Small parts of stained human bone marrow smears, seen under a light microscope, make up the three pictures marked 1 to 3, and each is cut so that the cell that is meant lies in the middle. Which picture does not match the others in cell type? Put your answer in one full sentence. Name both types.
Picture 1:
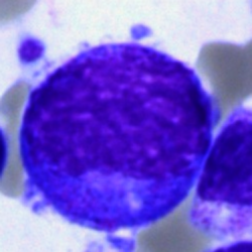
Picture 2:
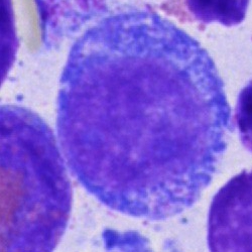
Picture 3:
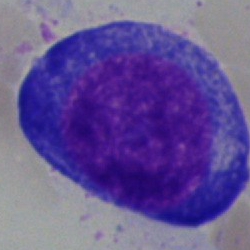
All pictures except 3 show promyelocytes; picture 3 shows a proerythroblast.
